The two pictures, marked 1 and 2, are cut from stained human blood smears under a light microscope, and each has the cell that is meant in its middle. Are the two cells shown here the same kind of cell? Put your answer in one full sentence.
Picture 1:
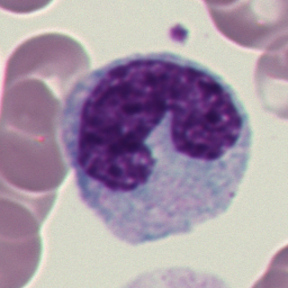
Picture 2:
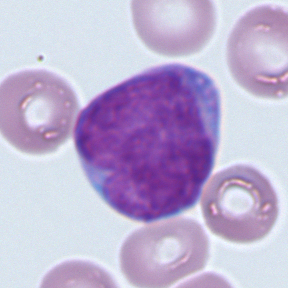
No. Picture 1 shows a monocyte, but picture 2 shows an atypical promyelocyte.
